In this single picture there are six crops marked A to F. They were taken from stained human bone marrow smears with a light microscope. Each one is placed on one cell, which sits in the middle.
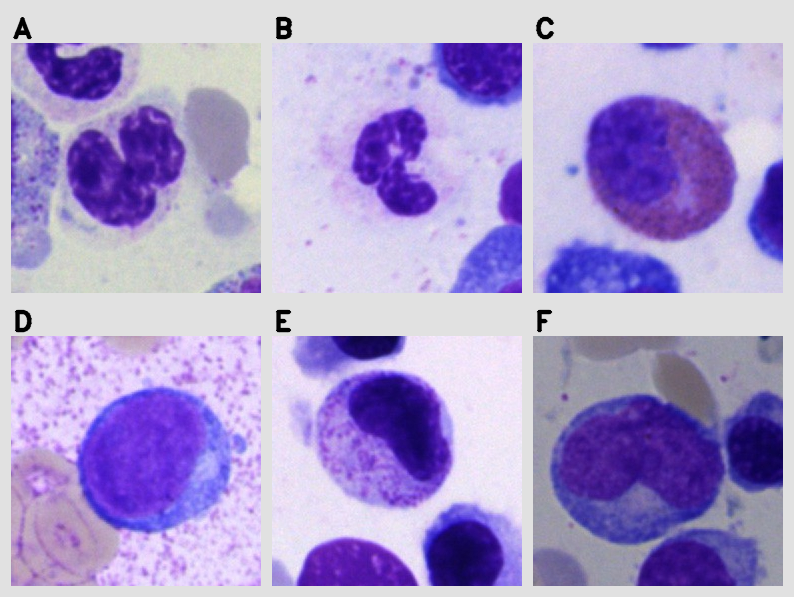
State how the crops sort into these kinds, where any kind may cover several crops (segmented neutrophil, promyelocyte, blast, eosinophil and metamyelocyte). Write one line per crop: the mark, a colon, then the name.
A: segmented neutrophil
B: segmented neutrophil
C: eosinophil
D: blast
E: metamyelocyte
F: blast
